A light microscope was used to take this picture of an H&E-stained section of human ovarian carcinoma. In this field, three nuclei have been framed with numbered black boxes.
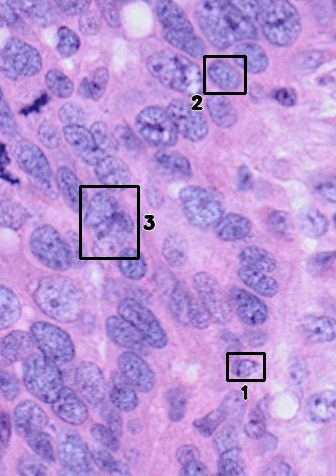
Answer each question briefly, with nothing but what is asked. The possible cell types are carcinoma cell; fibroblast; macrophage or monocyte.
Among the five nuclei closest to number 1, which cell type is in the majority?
fibroblast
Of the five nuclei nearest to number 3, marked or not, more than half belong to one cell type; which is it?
carcinoma cell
